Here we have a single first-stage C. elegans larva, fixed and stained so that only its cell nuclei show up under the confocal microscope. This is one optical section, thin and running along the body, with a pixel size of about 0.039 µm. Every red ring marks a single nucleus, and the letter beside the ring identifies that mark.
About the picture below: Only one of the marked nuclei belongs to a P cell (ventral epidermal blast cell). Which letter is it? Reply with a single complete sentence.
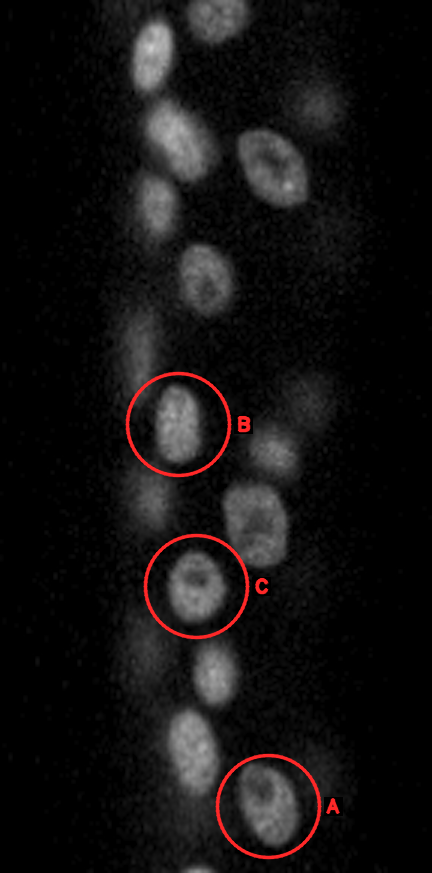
The nucleus of a P cell (ventral epidermal blast cell) is B.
